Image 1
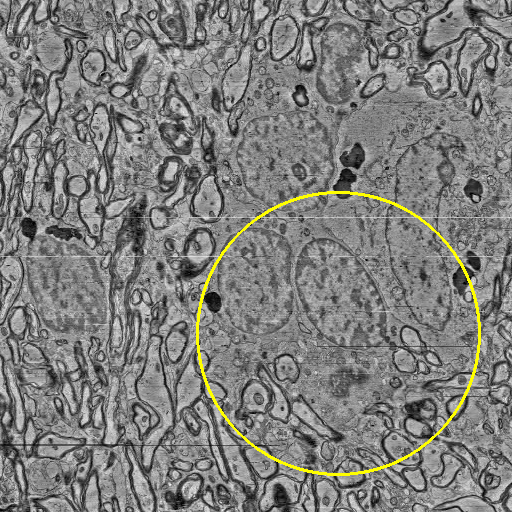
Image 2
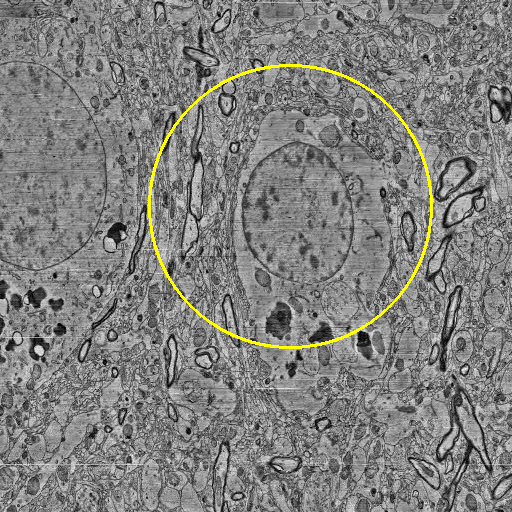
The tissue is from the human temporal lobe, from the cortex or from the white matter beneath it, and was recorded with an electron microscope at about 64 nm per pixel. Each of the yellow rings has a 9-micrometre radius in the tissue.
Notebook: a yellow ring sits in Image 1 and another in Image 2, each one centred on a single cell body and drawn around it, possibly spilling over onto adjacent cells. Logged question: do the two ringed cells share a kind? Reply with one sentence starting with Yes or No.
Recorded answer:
No, the centre cells inside the rings of Image 1 and Image 2 are of two kinds.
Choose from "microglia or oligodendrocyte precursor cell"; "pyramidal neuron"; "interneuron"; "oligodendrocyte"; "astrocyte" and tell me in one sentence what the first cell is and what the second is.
What the first ring is centred on is an oligodendrocyte; what the second ring is centred on is an astrocyte.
